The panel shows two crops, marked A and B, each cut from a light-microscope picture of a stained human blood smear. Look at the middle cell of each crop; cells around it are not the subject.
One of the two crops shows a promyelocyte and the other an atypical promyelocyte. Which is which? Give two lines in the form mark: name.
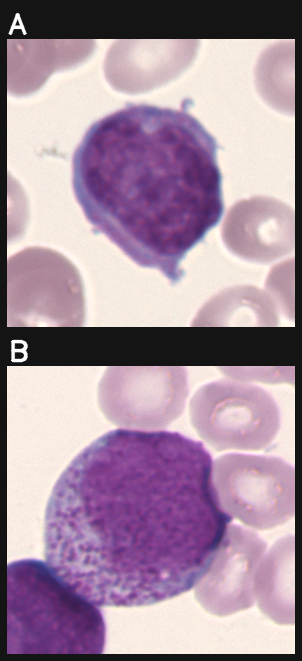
A: atypical promyelocyte
B: promyelocyte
